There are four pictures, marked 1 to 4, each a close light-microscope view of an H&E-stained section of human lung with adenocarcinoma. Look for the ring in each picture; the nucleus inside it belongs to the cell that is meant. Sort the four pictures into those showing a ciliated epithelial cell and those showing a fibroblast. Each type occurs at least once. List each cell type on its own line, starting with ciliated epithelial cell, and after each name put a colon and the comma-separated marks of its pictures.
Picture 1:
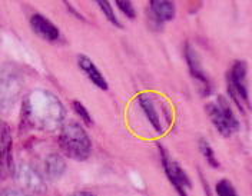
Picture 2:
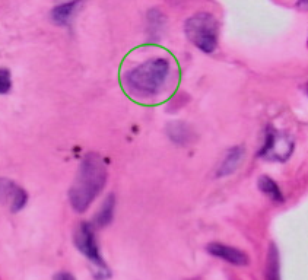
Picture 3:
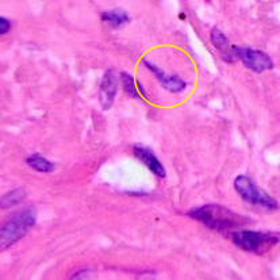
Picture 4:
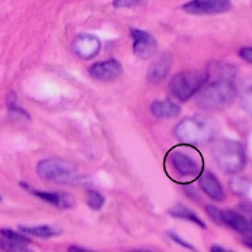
ciliated epithelial cell: 4
fibroblast: 1, 2, 3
